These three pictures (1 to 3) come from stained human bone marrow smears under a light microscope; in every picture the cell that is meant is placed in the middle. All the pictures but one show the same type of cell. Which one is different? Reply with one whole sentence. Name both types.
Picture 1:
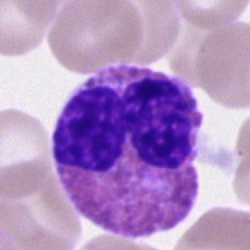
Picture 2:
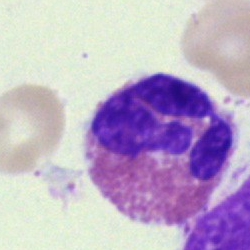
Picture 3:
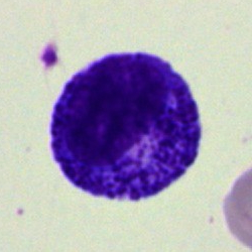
The different one is picture 3; it shows a promyelocyte, whereas all the others show eosinophils.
